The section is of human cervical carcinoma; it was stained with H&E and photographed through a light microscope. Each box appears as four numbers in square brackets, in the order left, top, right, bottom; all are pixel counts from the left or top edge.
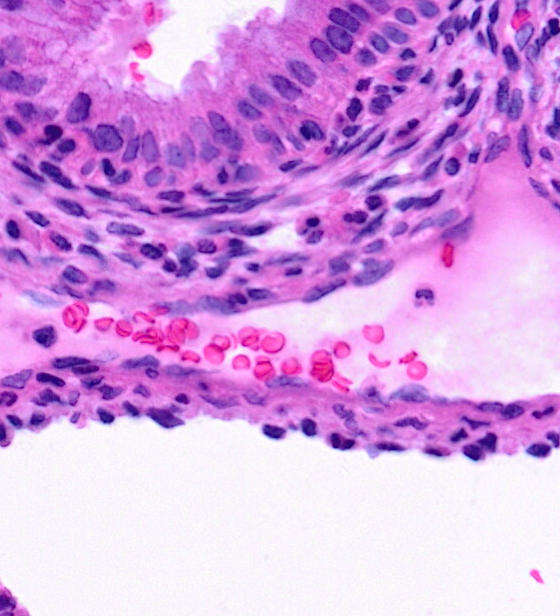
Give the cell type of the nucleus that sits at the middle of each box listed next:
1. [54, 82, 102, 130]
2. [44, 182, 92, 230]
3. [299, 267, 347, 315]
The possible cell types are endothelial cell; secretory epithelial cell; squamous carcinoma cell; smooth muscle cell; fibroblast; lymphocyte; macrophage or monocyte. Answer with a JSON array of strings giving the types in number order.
["secretory epithelial cell", "fibroblast", "endothelial cell"]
